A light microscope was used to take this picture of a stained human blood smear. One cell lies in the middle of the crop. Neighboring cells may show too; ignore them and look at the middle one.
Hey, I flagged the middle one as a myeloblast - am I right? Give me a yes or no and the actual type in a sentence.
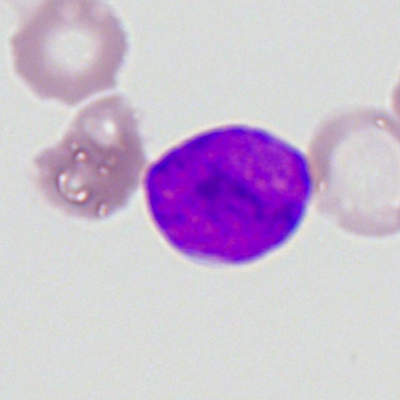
Yes, the cell at the middle of the field is to be classed as a myeloblast.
